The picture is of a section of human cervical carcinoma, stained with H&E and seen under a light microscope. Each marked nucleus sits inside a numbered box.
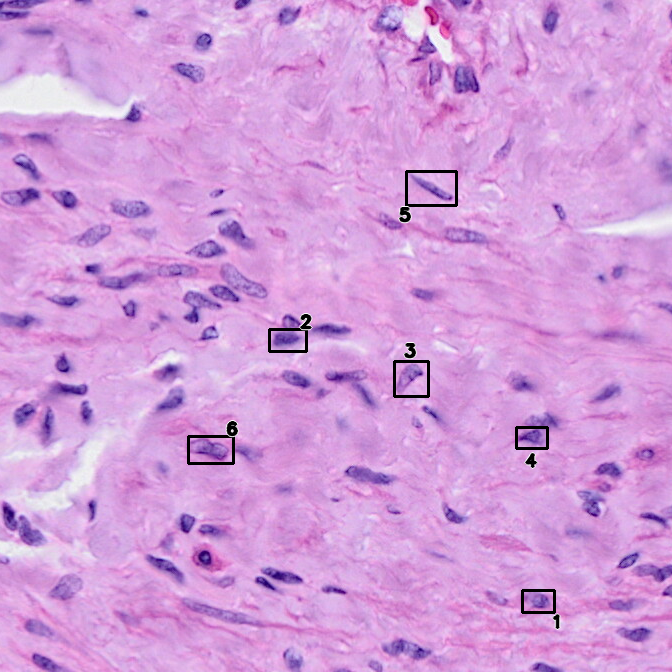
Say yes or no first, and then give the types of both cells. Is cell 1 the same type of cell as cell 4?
No, cell 1 here is a smooth muscle cell and cell 4 here is a fibroblast.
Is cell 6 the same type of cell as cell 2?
No, mate, cell 6 is a smooth muscle cell and cell 2 is a fibroblast.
